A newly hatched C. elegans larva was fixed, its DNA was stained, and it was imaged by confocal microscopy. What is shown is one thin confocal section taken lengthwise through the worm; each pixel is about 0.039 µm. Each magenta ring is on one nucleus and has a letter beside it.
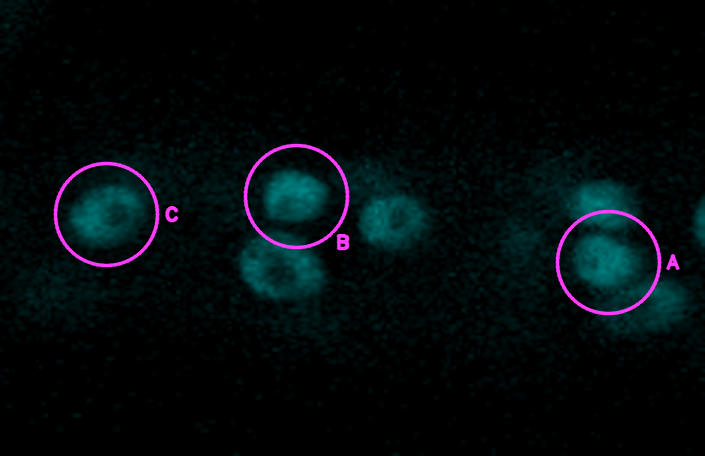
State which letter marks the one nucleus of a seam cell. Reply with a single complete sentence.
C is from a seam cell.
